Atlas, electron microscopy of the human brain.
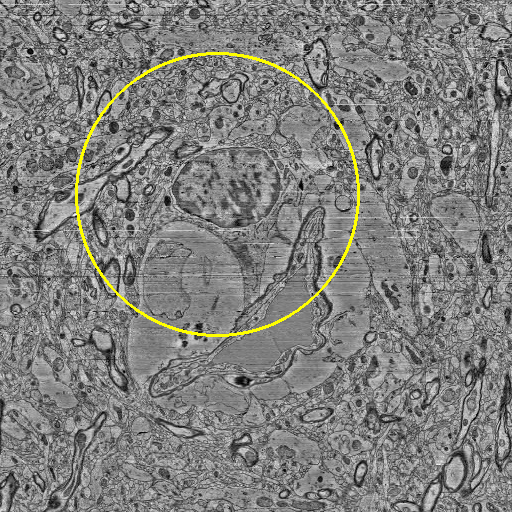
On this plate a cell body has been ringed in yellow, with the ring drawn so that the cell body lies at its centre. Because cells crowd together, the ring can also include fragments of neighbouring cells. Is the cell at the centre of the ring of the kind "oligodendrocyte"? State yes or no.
No, it is of another kind.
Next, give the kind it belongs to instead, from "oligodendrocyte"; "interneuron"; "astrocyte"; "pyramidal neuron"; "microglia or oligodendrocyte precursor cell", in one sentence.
That cell in the ring is a microglial cell or oligodendrocyte precursor cell instead.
